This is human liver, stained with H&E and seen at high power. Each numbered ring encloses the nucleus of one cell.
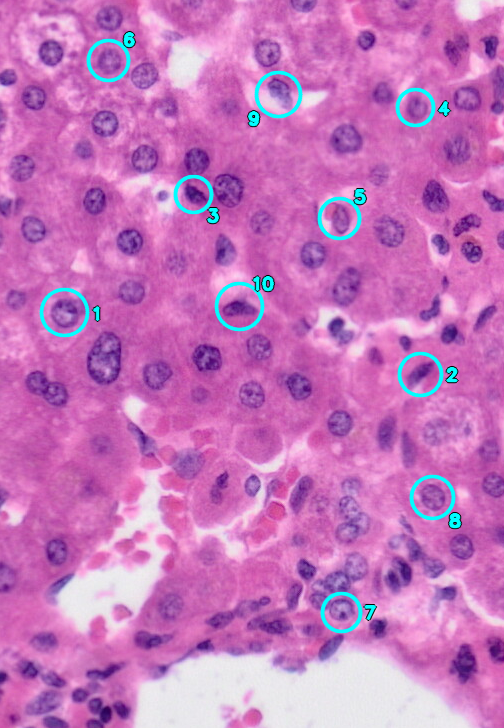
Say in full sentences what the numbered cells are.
Cell 1 is a hepatocyte, cell 2 is a fibroblast or stellate cell, cell 3 is a fibroblast or stellate cell, cell 4 is a hepatocyte, cell 5 is a Kupffer cell, cell 6 is a hepatocyte, cell 7 is a cholangiocyte, cell 8 is a hepatocyte, cell 9 is an endothelial cell and cell 10 is a fibroblast or stellate cell.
